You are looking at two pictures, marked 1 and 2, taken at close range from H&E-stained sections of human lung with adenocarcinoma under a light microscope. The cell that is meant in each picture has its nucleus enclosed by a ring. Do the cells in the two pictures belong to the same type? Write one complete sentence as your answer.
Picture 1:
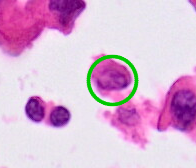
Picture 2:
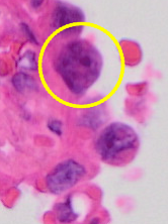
No. Picture 1 shows a “macrophage or monocyte”, but picture 2 shows a carcinoma cell.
